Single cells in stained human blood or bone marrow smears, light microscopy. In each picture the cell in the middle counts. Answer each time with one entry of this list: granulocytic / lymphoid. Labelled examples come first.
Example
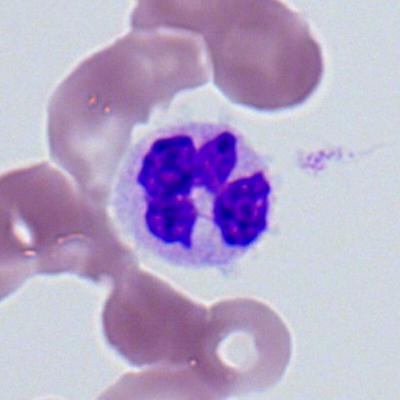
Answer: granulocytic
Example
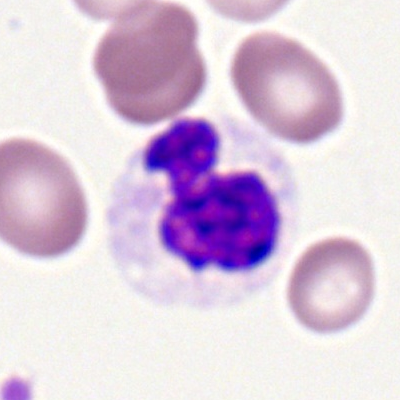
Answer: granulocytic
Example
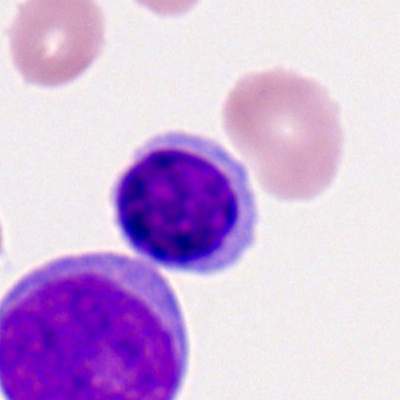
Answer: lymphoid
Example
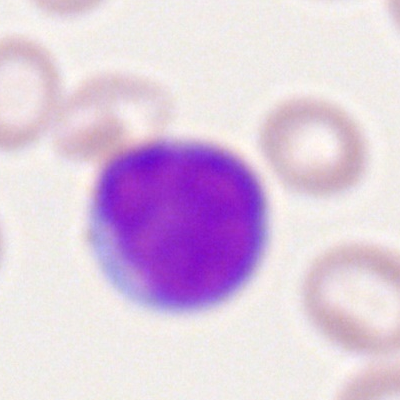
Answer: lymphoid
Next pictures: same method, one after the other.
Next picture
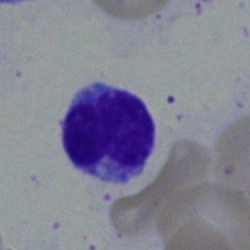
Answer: lymphoid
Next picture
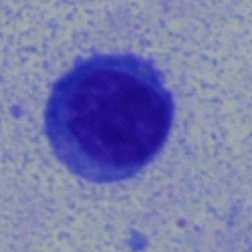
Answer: lymphoid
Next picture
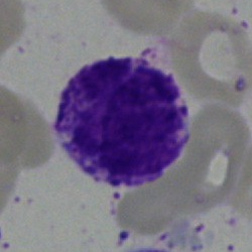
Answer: granulocytic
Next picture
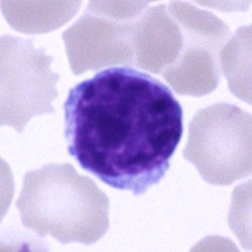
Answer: lymphoid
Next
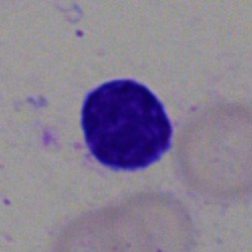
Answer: lymphoid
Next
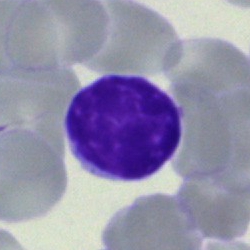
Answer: lymphoid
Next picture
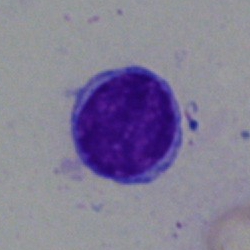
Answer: lymphoid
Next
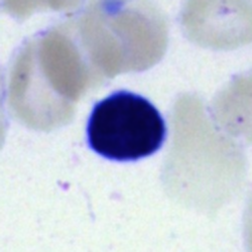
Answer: lymphoid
